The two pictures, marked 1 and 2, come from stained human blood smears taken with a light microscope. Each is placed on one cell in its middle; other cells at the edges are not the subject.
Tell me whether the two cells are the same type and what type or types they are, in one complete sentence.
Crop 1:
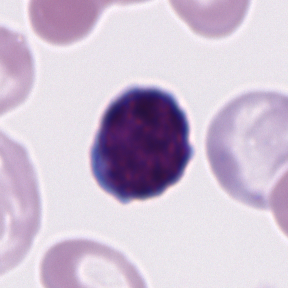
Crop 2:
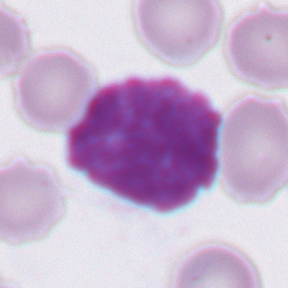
No, crop 1 shows a typical lymphocyte, and the cell in crop 2 is a smudge cell.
